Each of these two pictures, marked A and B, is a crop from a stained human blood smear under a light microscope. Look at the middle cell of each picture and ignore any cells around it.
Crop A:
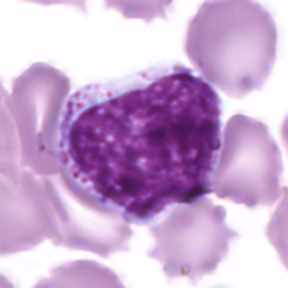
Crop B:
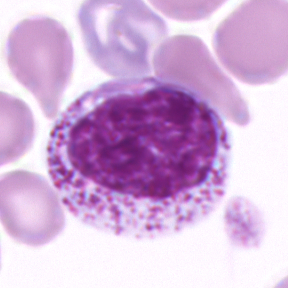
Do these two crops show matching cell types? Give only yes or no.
no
